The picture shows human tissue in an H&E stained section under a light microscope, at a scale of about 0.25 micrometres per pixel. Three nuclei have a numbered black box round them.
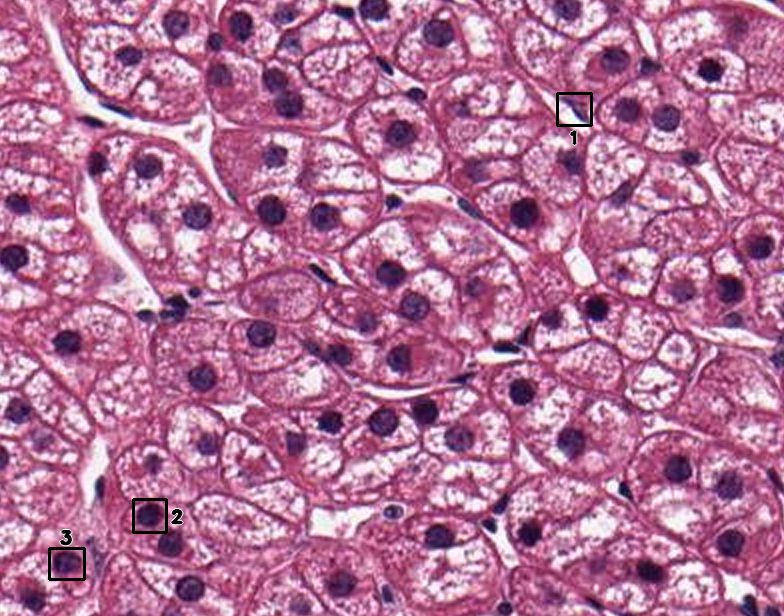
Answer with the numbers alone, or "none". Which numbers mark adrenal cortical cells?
2, 3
